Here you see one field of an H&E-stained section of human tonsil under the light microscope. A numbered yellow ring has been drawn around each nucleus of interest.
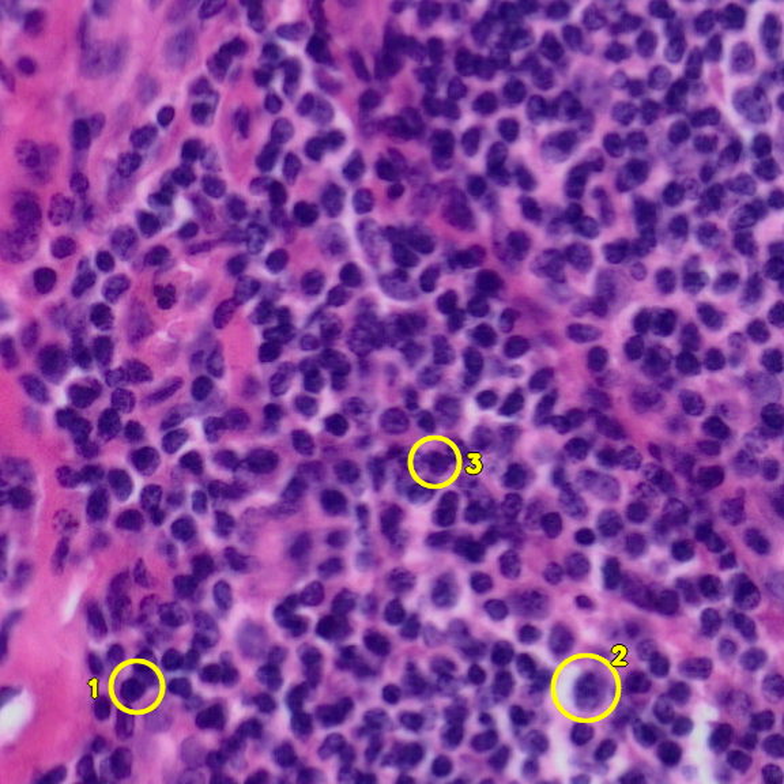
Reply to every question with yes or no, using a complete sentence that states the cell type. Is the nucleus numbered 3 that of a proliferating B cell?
No, cell 3 represents a small lymphocyte rather than a proliferating B cell.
